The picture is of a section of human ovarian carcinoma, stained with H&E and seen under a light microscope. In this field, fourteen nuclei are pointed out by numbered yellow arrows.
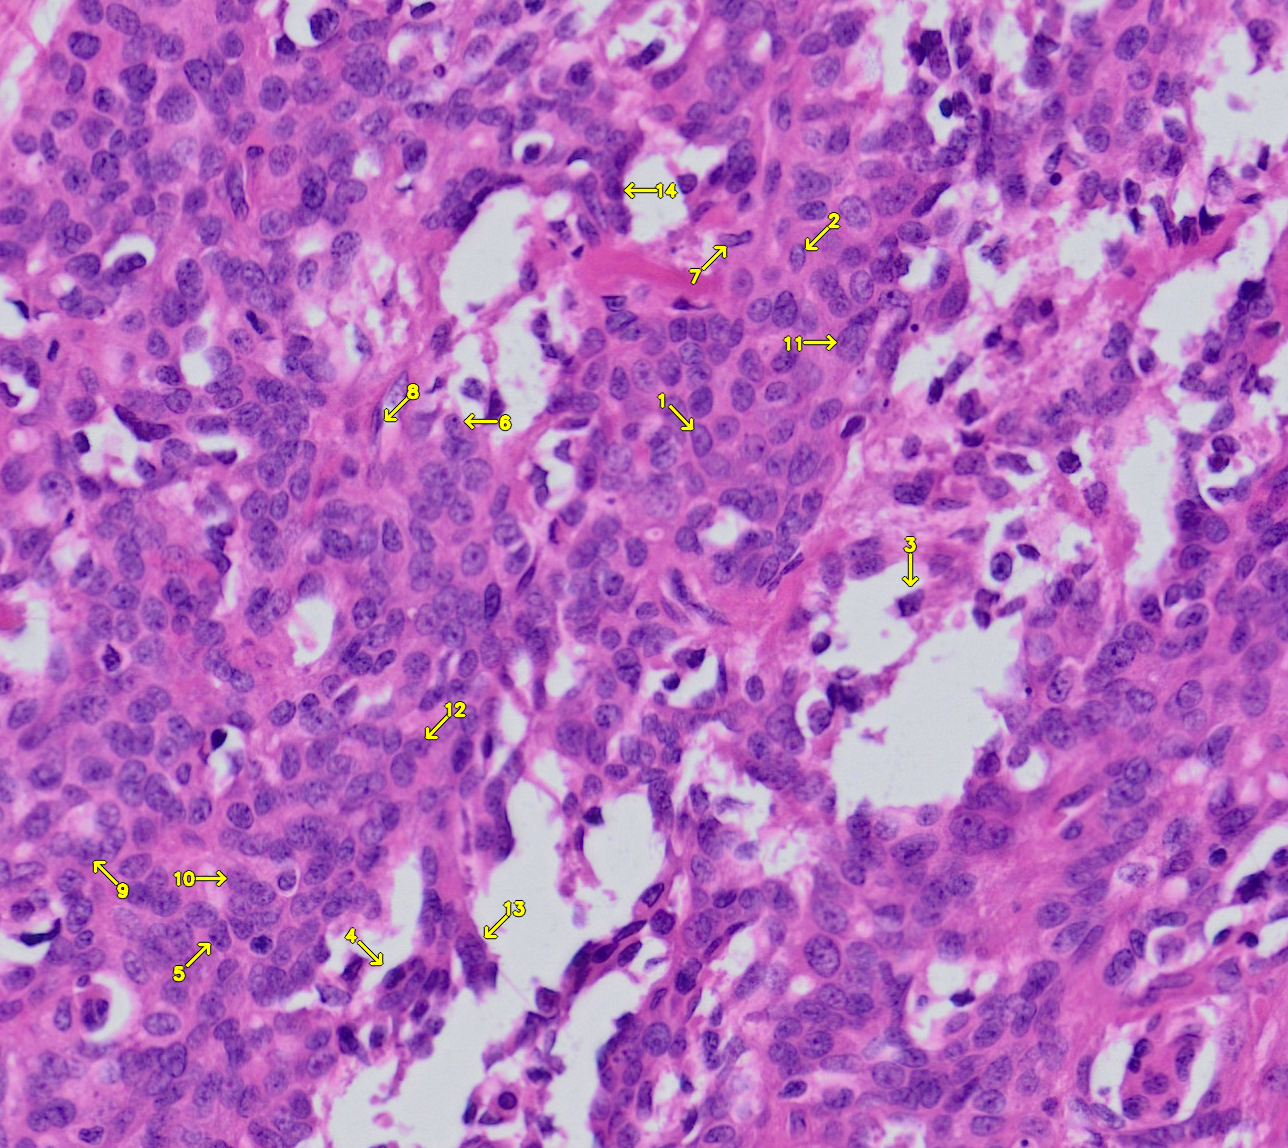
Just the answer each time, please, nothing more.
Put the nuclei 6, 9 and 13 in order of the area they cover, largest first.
13, 9, 6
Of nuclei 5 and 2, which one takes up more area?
5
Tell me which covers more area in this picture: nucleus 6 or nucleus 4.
4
